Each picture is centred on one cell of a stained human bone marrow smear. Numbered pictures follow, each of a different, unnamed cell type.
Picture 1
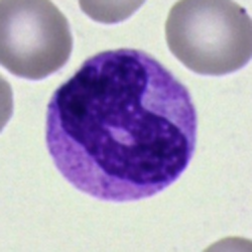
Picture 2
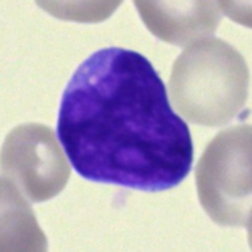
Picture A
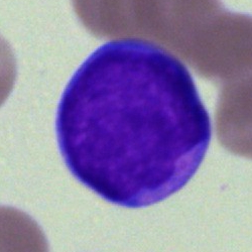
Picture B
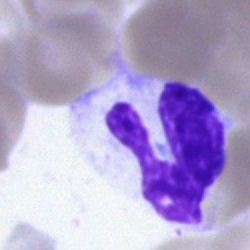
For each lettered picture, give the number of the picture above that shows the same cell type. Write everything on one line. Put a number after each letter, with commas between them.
A 2, B 1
